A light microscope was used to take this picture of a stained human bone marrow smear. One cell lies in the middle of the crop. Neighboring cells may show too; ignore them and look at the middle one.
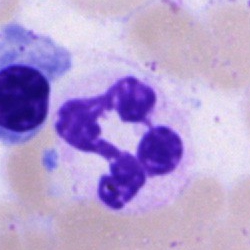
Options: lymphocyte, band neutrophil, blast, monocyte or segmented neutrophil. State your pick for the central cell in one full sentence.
The centrally located cell in the crop is a segmented neutrophil.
